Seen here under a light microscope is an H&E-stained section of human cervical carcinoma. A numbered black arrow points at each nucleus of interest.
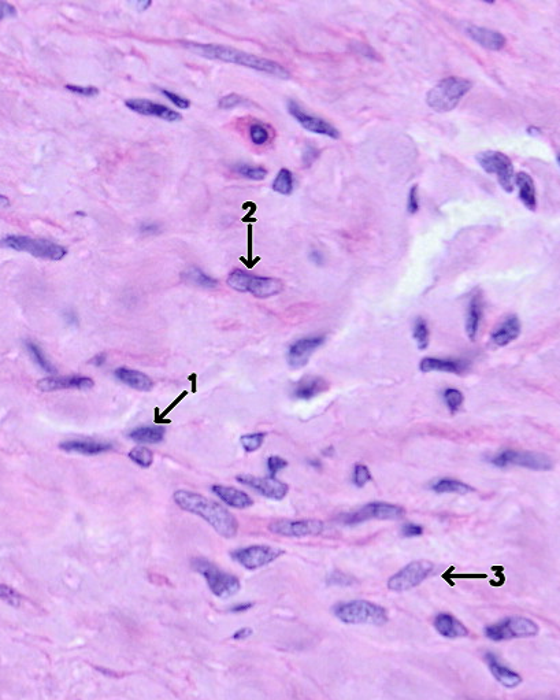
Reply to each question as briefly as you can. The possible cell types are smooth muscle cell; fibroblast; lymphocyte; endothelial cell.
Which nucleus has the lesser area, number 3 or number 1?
1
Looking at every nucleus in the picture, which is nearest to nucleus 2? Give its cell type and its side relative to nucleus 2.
a smooth muscle cell to the left of nucleus 2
